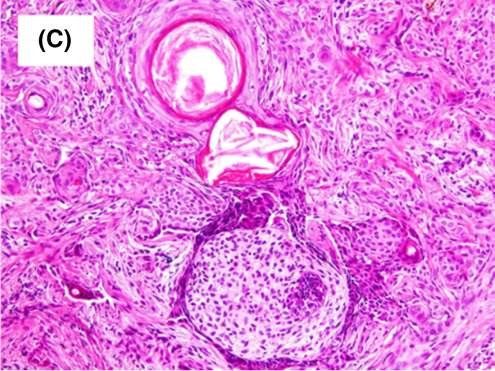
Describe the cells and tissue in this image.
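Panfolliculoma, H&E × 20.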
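Near the top lies a round cyst lined by thin squamous epithelium and filled with pink, layered keratin, with an angular fragment of brighter keratin just below it. Underneath sits a rounded nest of pale epithelial cells edged by a rim of darker, crowded basaloid cells, set among other small epithelial nests in a pink fibrous stroma. The cyst is a keratin-filled infundibular structure, and the nearby basaloid nest resembles an abortive follicular germ.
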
